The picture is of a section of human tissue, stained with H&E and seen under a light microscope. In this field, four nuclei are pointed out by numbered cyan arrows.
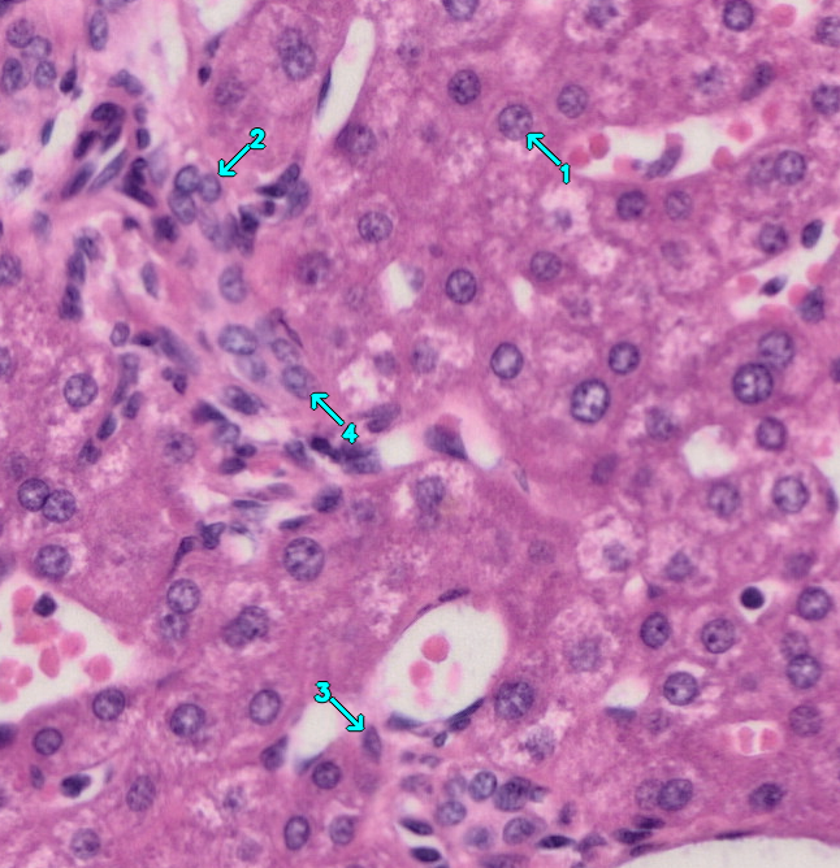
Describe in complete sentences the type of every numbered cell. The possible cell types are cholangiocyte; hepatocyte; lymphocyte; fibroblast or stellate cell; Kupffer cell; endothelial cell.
Cell 1 is a hepatocyte, cell 2 is a cholangiocyte, cell 3 is a fibroblast or stellate cell and cell 4 is a cholangiocyte.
